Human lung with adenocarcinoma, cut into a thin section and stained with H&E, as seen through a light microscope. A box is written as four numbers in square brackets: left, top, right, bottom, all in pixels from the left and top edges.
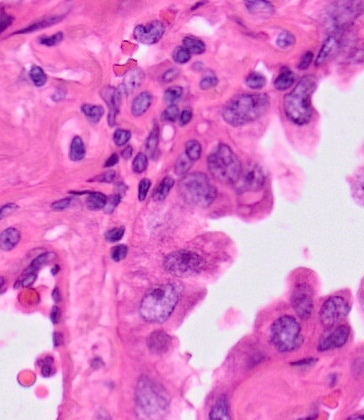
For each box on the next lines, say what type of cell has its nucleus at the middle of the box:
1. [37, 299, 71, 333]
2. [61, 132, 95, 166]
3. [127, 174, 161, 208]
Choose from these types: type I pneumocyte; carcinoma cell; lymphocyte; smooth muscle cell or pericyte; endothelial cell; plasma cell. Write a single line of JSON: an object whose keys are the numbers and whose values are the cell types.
{"1": "endothelial cell", "2": "lymphocyte", "3": "lymphocyte"}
